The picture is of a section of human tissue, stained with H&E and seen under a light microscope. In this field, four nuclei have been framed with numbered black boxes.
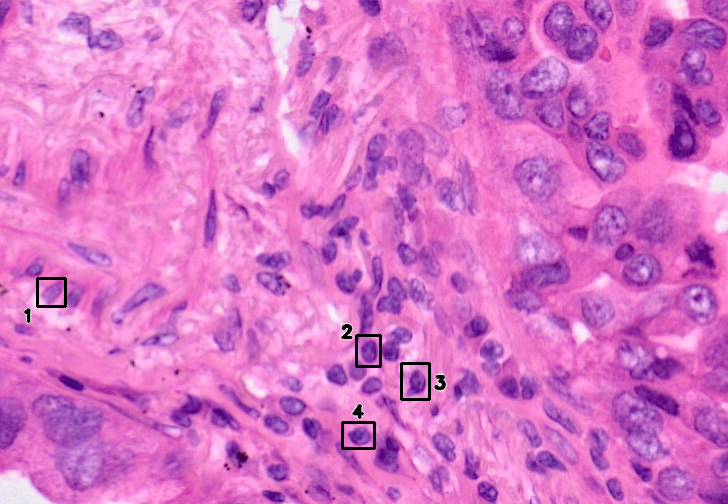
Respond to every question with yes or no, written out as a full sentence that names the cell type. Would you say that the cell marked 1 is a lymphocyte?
No, cell 1 isn't a lymphocyte; it's a smooth muscle cell or pericyte.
